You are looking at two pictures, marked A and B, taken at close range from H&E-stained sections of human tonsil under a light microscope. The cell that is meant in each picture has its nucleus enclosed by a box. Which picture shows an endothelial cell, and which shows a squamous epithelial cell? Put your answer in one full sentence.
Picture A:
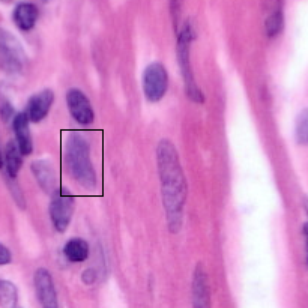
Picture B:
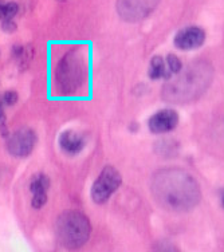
Picture A shows an endothelial cell and picture B shows a squamous epithelial cell.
